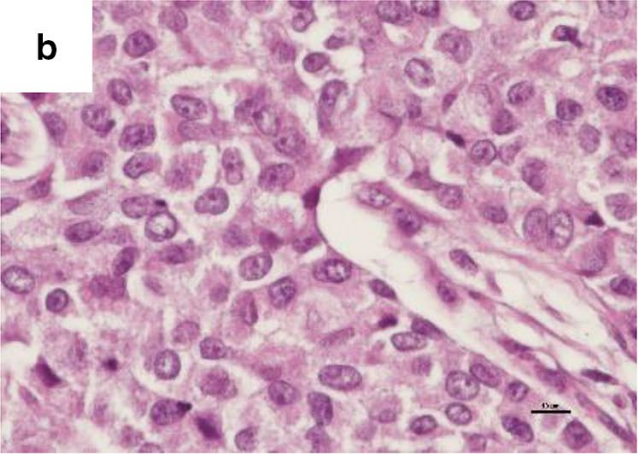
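The cells lie packed closely together without forming obvious glands. Their nuclei are round to oval, fairly uniform in size, purple, with fine chromatin and small visible nucleoli. The cytoplasm is pale pink and moderately abundant, with indistinct cell borders and some clear clefts between cells. Toward the right side, a band of looser, paler fibrous tissue with elongated cells and an open space crosses the sheet of tumour cells.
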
